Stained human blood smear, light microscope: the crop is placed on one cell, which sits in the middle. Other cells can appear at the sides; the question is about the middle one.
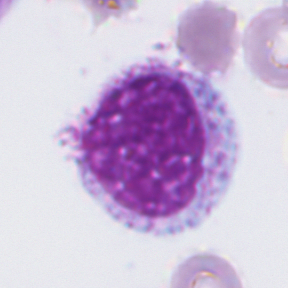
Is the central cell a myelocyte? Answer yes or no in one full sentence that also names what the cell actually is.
Yes, the central element of the crop is a myelocyte.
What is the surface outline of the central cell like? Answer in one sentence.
The perimeter of the cell is irregular, with ragged sections or outward projections.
